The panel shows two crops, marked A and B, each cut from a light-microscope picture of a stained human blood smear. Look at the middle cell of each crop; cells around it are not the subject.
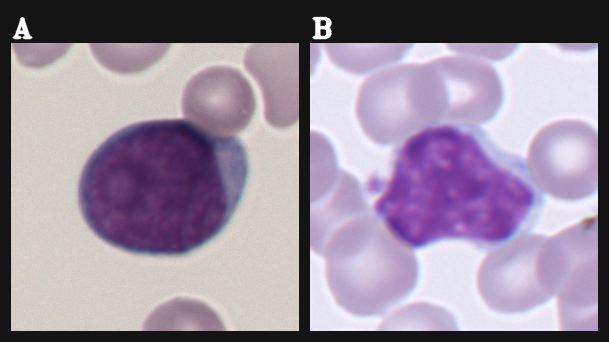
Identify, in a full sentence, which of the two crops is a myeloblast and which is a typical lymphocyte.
Crop A represents a myeloblast, while crop B represents a typical lymphocyte.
